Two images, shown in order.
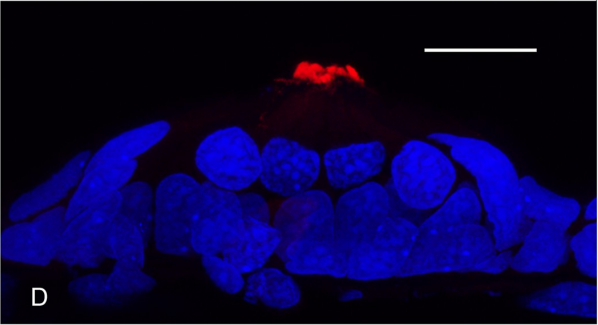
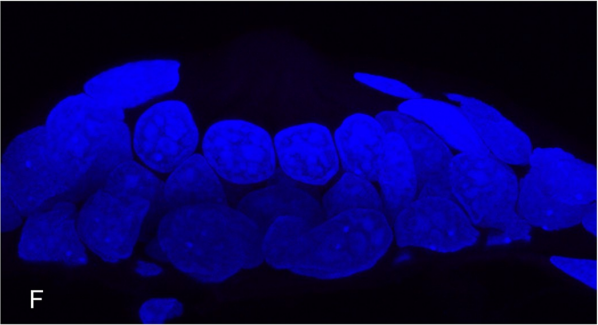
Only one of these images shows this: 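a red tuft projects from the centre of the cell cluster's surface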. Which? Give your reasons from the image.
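Second image: only blue nuclei in a dome, with a faint dark haze above and no red. First image: a bright red tuft sits above the centre of the dome of blue nuclei. The answer: the first image.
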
